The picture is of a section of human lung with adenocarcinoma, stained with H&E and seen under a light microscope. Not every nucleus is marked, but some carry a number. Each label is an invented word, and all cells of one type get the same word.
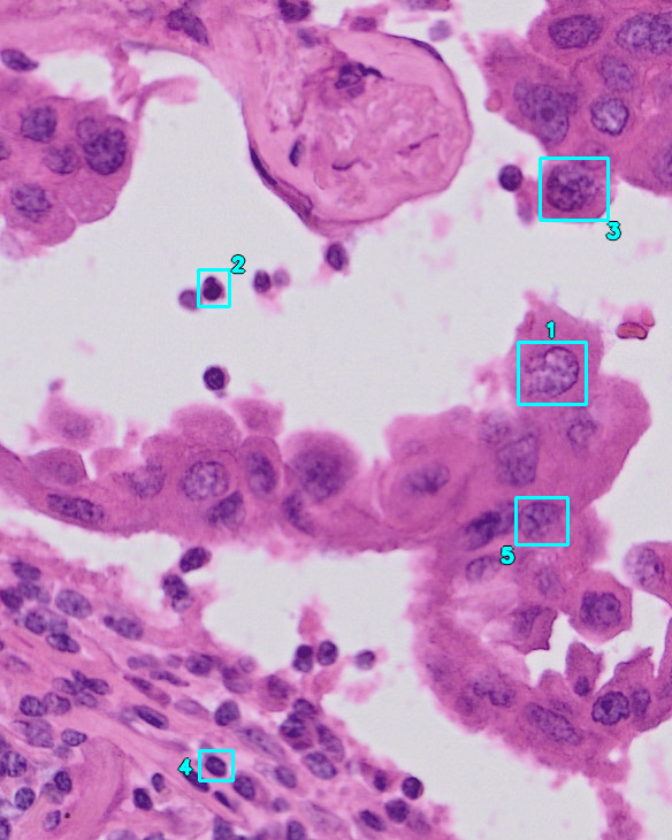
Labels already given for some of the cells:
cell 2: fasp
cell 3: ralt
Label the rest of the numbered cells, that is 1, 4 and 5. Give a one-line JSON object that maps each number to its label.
{"1": "ralt", "4": "fasp", "5": "ralt"}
